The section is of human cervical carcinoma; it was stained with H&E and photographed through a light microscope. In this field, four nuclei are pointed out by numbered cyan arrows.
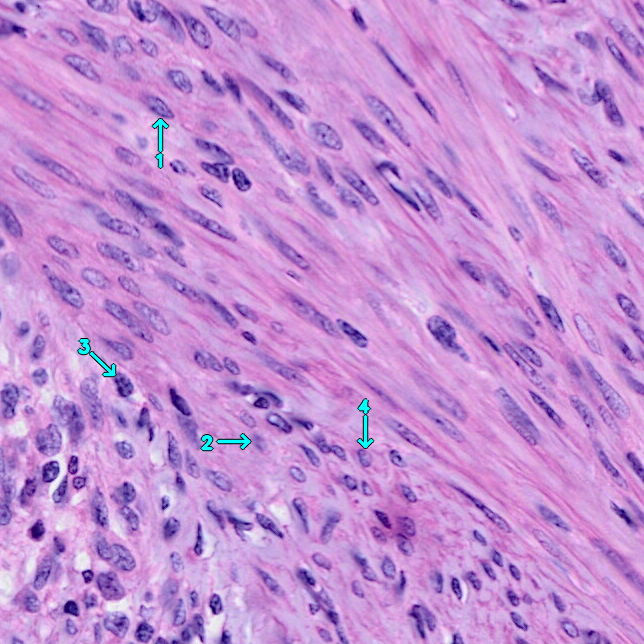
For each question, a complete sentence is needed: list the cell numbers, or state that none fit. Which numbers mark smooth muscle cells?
The numbers 1, 2 and 4 refer to cells that are smooth muscle cells.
